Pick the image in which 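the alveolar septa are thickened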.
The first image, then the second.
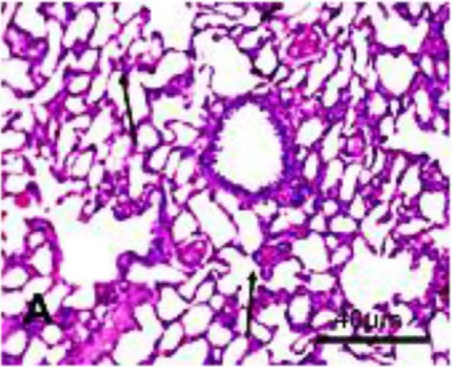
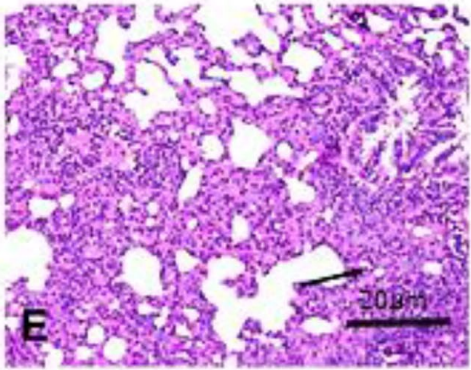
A: The second image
